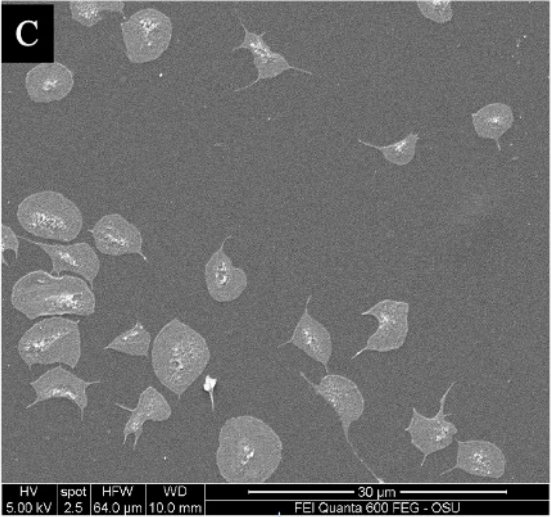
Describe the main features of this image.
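Scanning electron micrograph of scattered adherent platelets on a smooth surface, some in loose groups and some alone. Many are spread as rounded flat sheets with a granular centre, while others are less spread and angular with thin pointed projections reaching out from their corners; one small unspread rounded body with spikes is also present.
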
